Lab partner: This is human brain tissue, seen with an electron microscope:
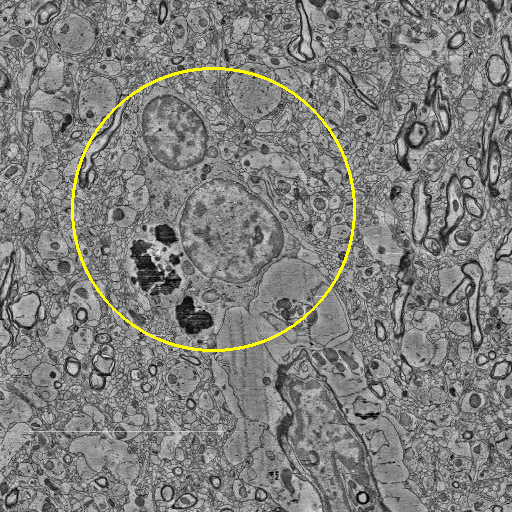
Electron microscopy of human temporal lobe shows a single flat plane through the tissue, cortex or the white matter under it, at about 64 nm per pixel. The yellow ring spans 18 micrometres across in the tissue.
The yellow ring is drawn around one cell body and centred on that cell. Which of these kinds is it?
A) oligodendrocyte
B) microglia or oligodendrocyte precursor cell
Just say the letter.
A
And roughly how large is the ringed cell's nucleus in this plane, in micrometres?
The nucleus of the ringed cell is approximately 7 micrometres across in this plane.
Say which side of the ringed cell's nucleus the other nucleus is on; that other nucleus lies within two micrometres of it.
That second nucleus is to the upper left of it.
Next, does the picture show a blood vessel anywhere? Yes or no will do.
Yes.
